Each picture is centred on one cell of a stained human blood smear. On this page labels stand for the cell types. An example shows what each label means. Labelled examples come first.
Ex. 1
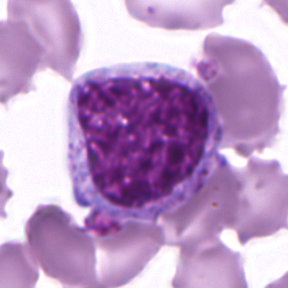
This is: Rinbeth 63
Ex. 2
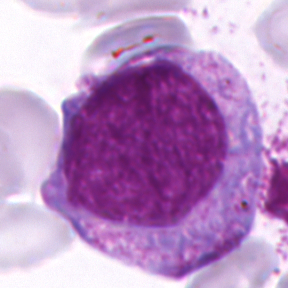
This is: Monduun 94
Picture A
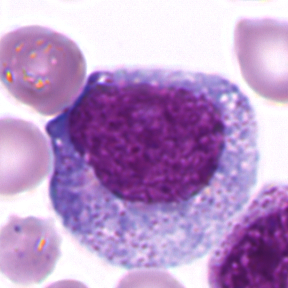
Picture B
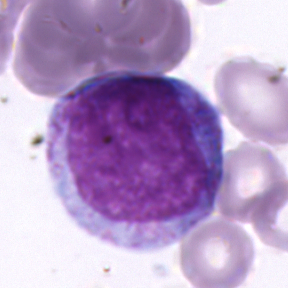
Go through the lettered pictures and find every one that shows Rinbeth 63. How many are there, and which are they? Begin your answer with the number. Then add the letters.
0, none of them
